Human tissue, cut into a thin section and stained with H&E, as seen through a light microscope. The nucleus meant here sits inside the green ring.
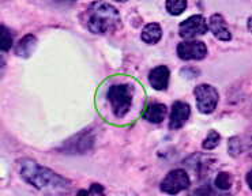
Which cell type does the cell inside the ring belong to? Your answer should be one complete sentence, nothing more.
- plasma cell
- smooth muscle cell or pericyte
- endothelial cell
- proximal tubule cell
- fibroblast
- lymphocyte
The cell type of the cell inside the ring is that of a lymphocyte.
